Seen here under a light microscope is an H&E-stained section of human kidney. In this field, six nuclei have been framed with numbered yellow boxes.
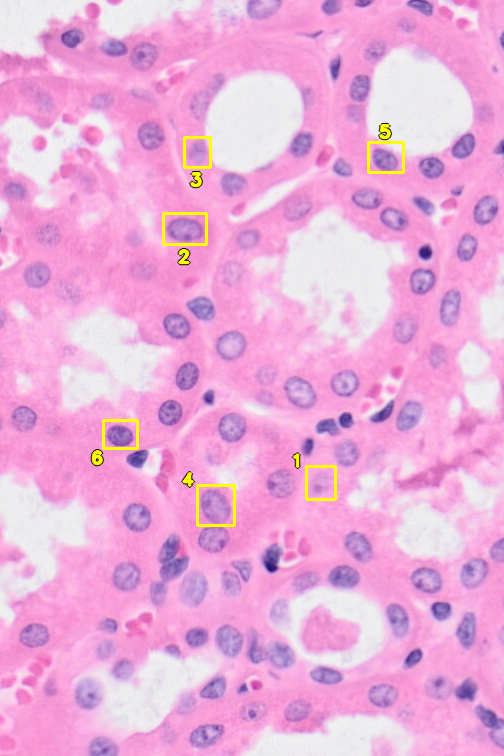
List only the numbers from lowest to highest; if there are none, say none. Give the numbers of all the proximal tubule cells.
1, 2, 4, 6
